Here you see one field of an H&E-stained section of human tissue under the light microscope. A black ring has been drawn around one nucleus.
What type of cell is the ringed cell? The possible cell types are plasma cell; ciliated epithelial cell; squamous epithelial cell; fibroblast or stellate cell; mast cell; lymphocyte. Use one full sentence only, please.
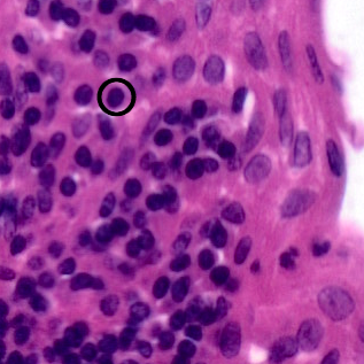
In this preparation, the ringed cell is a plasma cell.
